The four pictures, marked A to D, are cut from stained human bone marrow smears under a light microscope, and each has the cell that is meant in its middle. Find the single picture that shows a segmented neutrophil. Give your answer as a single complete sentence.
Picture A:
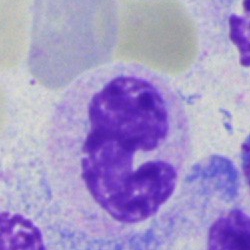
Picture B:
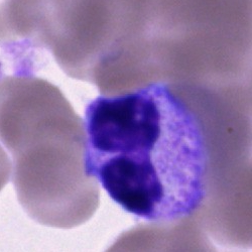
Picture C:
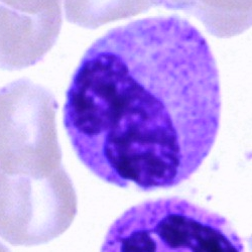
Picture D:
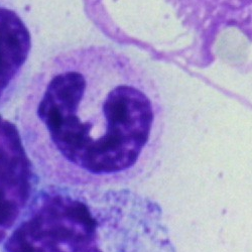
The cell in picture B is the segmented neutrophil.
